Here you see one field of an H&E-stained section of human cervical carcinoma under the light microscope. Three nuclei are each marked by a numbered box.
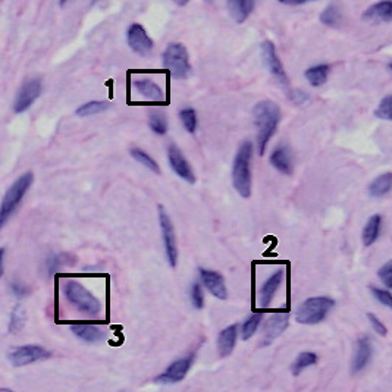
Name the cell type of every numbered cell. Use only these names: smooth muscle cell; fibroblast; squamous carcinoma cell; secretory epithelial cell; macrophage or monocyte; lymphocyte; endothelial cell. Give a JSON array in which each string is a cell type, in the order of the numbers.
["fibroblast", "fibroblast", "endothelial cell"]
